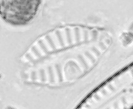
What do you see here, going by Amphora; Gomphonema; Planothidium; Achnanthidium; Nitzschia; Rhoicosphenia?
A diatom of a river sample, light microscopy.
I see Planothidium.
